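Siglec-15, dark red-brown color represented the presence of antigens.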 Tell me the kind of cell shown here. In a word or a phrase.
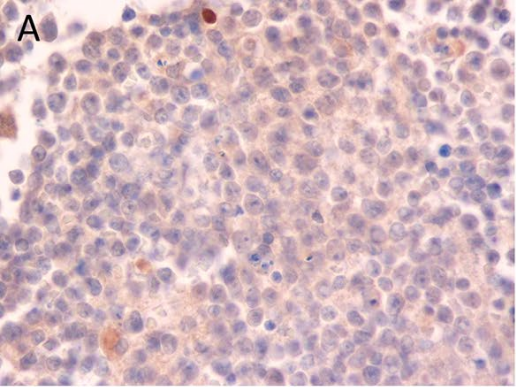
Tumor cells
